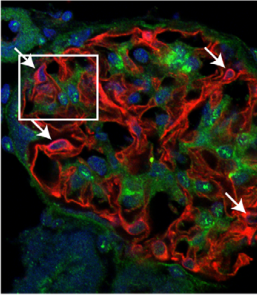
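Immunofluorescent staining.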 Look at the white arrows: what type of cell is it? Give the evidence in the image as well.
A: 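The arrows point to cells at the outer edge of the capillary loops. The marked cells are rimmed by red staining continuous with the loops.
Answer: podocyte cells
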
